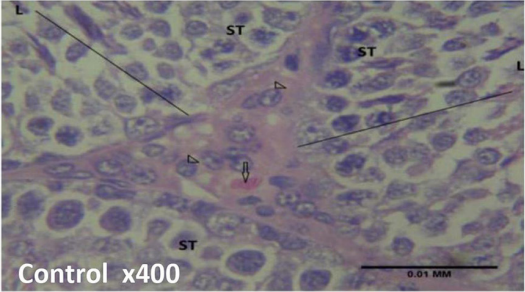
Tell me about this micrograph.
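Where several seminiferous tubules meet, the multilayered germinal epithelium of each tubule faces a small triangle of pink interstitial tissue. The epithelium holds crowded germ cells with round, purple-stained nuclei, some large with granular chromatin, arranged in rows that run from the tubule edge toward the lumen. In the interstitium lie a few cells with round nuclei and pink cytoplasm, the interstitial cells of Leydig, and a small blood vessel with only a few red cells in it. The tubules lie close together with little space between them, and nothing in the tissue looks swollen or packed with blood.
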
